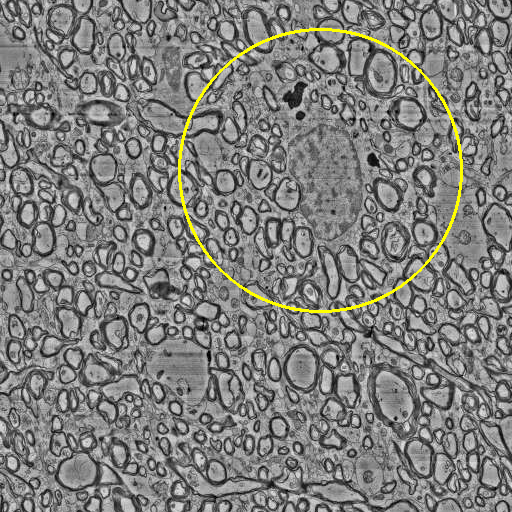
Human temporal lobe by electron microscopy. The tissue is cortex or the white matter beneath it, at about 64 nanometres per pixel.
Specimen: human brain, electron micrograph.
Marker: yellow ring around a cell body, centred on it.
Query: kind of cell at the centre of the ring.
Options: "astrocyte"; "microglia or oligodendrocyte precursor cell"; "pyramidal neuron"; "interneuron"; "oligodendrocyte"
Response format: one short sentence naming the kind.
This cell body belongs to an oligodendrocyte.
